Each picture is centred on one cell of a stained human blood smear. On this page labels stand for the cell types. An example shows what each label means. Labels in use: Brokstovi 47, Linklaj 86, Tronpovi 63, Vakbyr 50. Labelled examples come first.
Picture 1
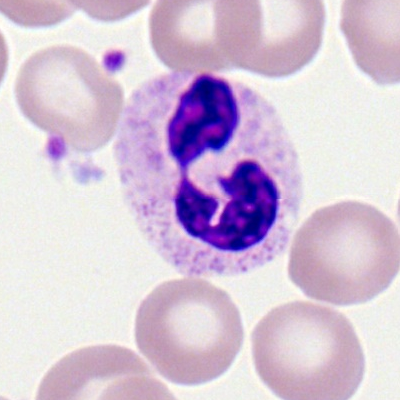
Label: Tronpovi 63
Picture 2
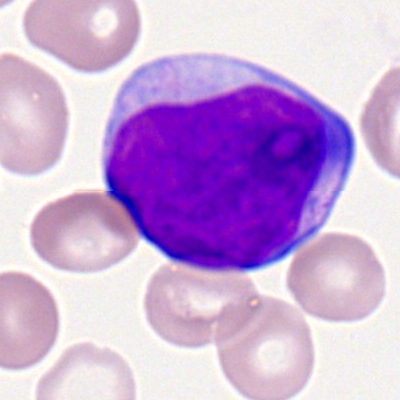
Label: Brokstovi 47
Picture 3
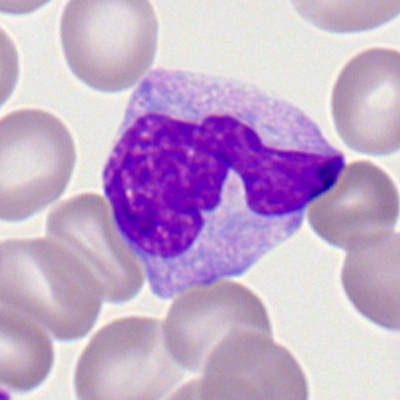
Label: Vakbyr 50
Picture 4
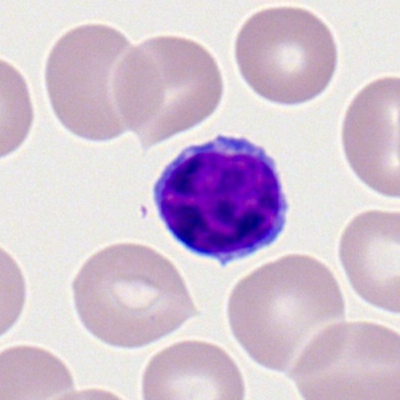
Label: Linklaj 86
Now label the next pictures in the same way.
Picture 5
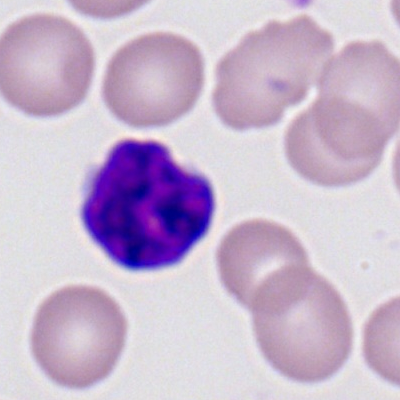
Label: Linklaj 86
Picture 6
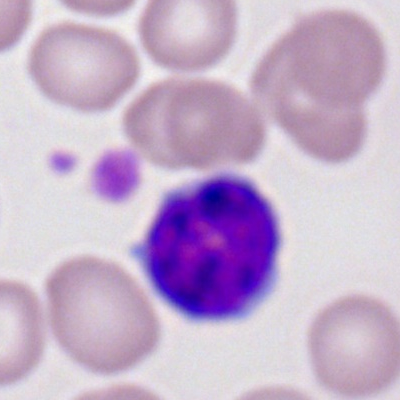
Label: Linklaj 86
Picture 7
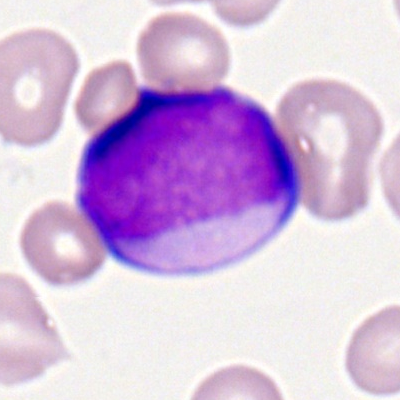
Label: Brokstovi 47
